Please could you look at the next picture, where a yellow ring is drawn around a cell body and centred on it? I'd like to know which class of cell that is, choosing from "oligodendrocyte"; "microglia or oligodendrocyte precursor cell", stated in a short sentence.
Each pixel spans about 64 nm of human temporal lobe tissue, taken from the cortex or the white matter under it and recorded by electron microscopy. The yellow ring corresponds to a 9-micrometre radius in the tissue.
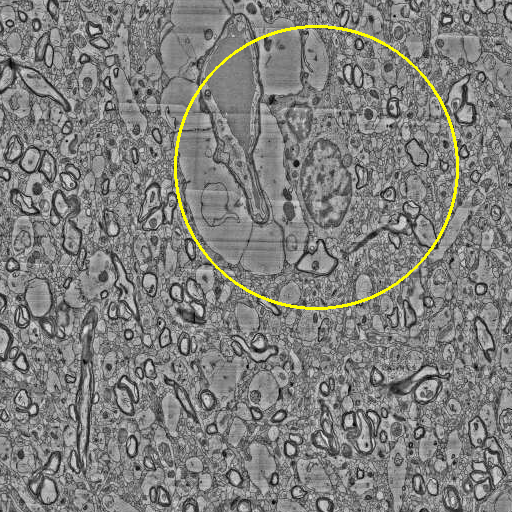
The ring's centre lies on an oligodendrocyte.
